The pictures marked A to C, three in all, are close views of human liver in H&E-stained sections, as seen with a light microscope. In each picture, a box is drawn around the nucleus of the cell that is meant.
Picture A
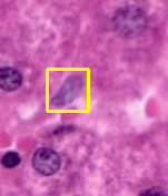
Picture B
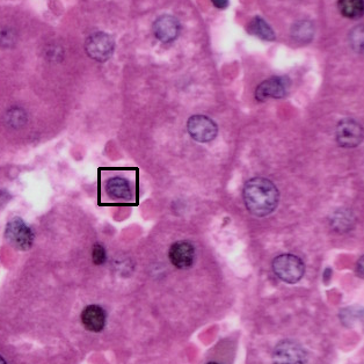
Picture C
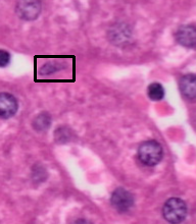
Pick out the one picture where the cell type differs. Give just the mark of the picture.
C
